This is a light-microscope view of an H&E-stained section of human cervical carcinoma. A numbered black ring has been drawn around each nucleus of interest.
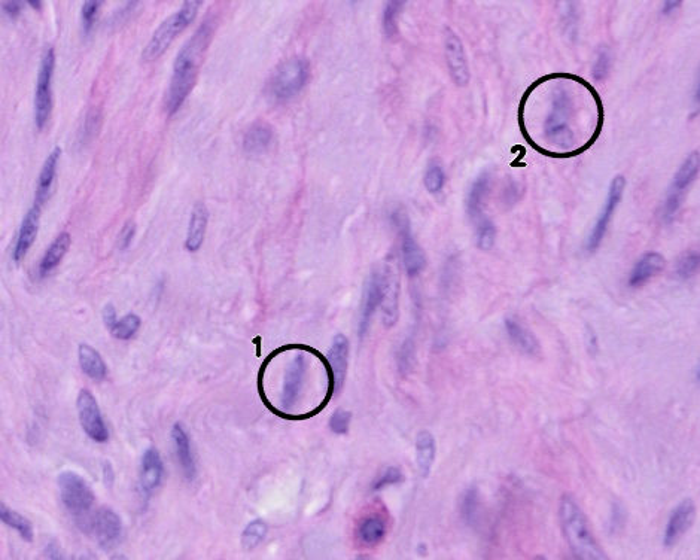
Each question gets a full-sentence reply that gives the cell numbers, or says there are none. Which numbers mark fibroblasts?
Cell 1 is the only one of the numbered cells that is a fibroblast.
